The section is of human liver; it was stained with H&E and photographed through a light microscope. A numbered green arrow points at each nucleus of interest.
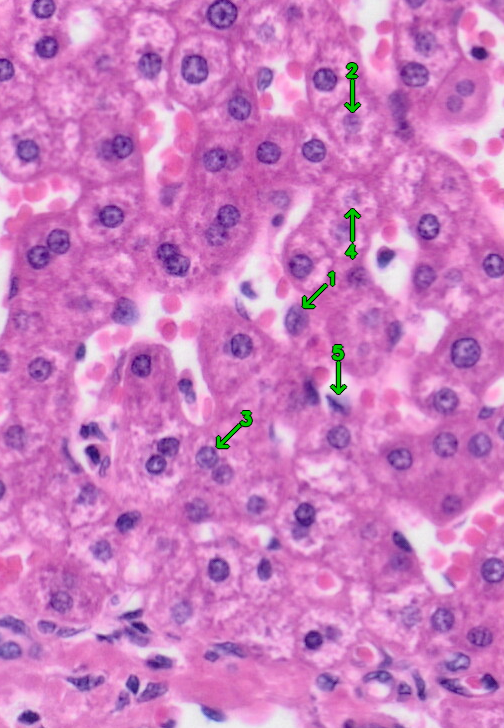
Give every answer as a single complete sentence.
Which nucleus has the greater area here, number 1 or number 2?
Nucleus 1 covers more area, about 1.5 times as much as nucleus 2.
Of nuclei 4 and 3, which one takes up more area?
The larger nucleus is 3, at roughly 2 times the area of 4.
